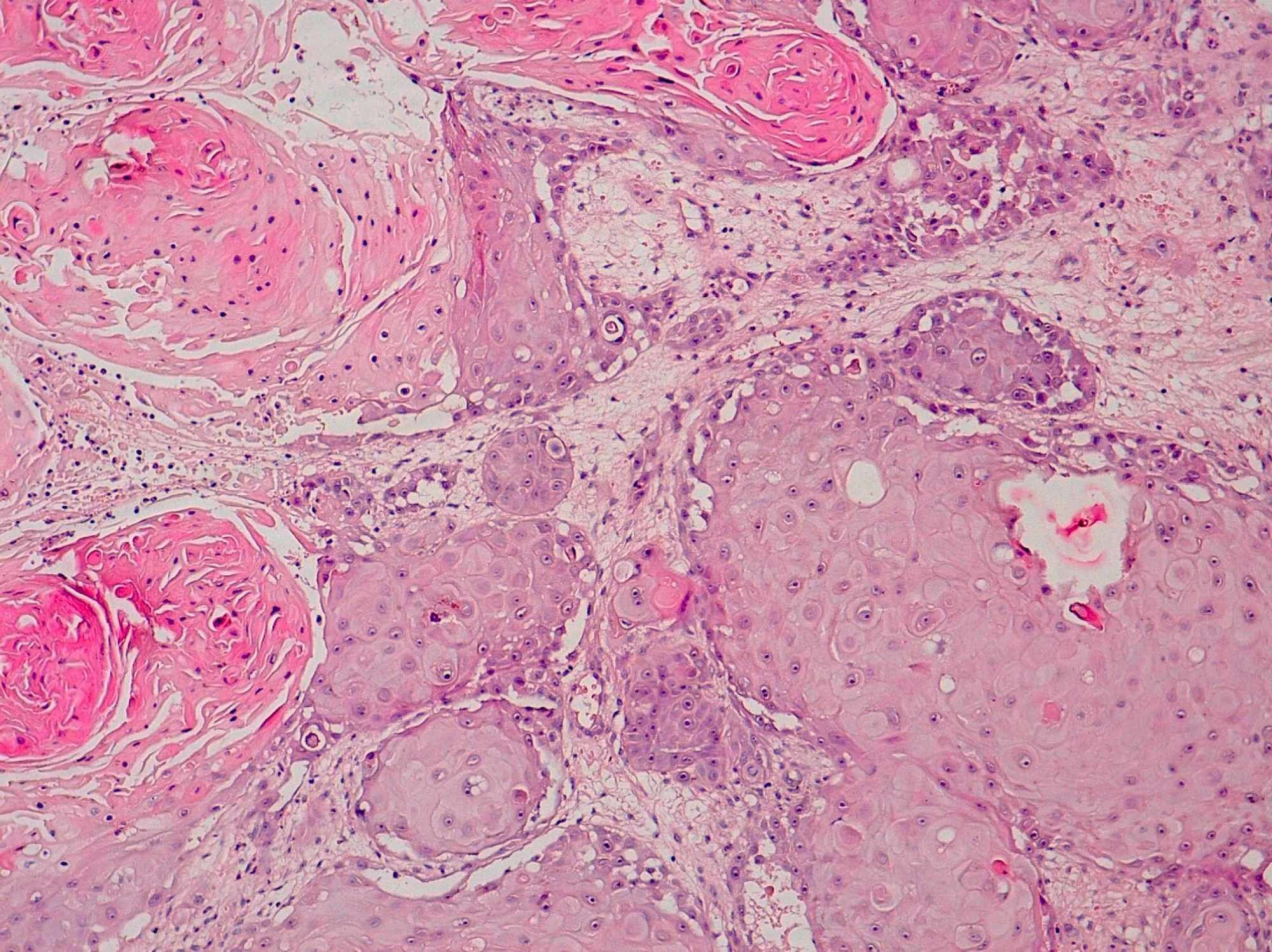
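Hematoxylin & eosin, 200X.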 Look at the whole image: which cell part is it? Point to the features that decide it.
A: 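Many round nuclei in the islands contain a distinct dark dot. The nuclei are round and set centrally in pink cytoplasm. That points to this answer: prominent nucleoli.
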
